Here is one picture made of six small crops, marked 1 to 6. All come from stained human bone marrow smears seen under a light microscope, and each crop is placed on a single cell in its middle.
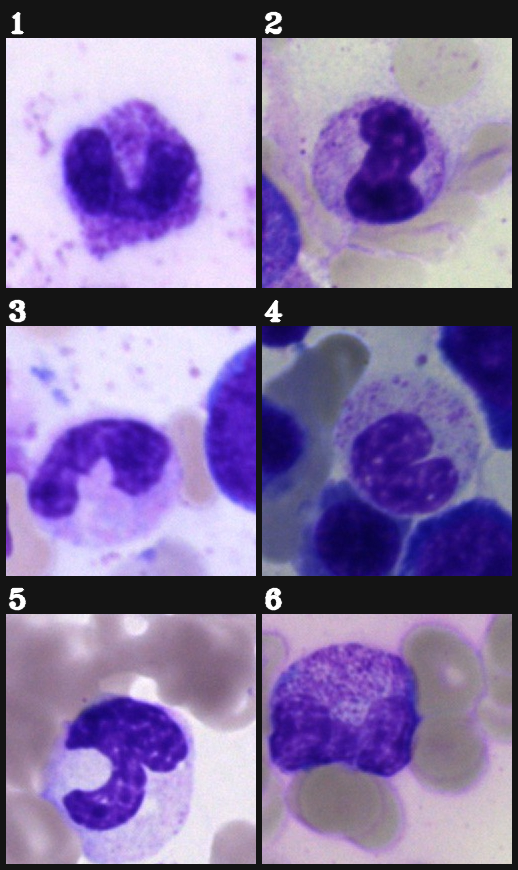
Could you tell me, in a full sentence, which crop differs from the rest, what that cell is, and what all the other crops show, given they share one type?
Apart from crop 5, a segmented neutrophil, the crops all show band neutrophils.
